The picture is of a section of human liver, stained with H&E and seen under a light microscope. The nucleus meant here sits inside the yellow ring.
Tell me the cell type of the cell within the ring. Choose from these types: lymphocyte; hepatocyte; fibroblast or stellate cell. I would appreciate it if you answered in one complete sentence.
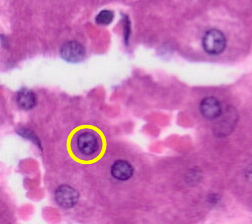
At the level of cell identity, the cell within the ring is a hepatocyte.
